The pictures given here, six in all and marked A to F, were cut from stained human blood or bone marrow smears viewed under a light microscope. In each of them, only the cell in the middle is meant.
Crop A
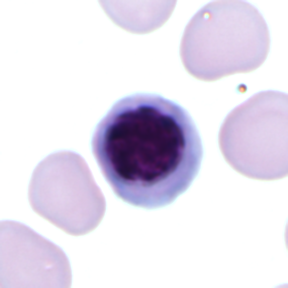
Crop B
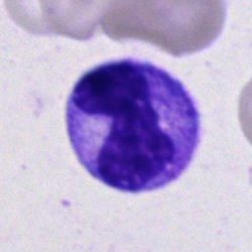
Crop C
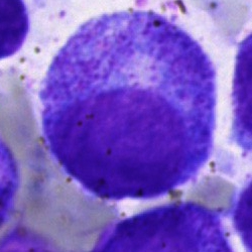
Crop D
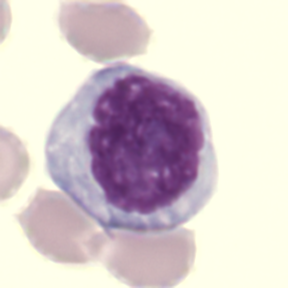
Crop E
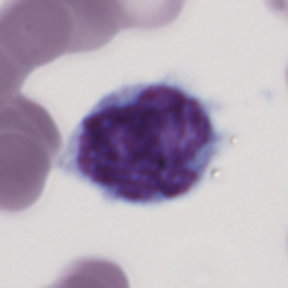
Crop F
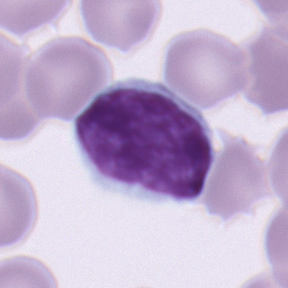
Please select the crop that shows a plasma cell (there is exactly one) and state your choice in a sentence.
Crop D is the crop in which a plasma cell is shown.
